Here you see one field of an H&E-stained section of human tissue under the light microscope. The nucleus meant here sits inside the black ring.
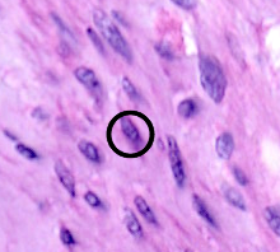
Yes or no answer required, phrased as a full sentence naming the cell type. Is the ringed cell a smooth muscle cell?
Yes, it is accurate to say that the ringed cell is a smooth muscle cell.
